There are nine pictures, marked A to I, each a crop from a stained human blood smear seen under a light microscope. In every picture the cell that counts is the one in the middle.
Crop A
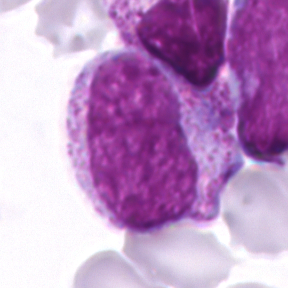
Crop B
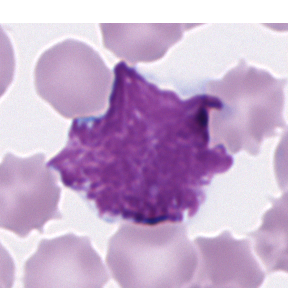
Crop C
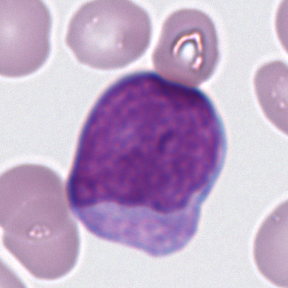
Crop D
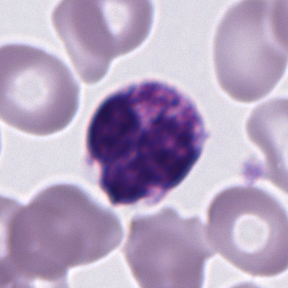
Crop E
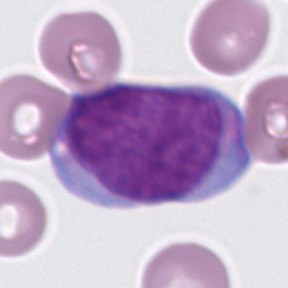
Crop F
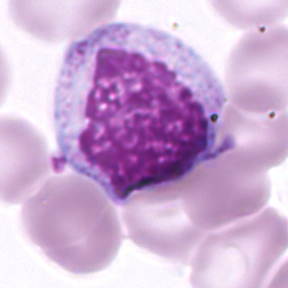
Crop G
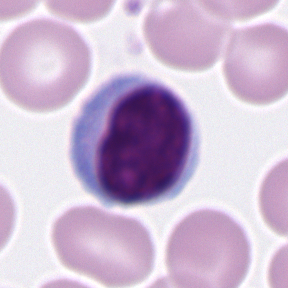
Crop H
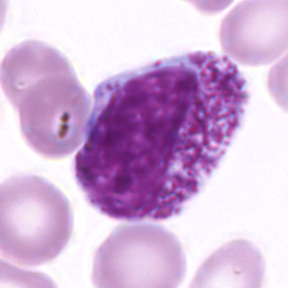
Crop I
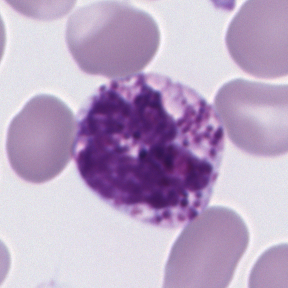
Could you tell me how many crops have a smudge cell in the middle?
1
